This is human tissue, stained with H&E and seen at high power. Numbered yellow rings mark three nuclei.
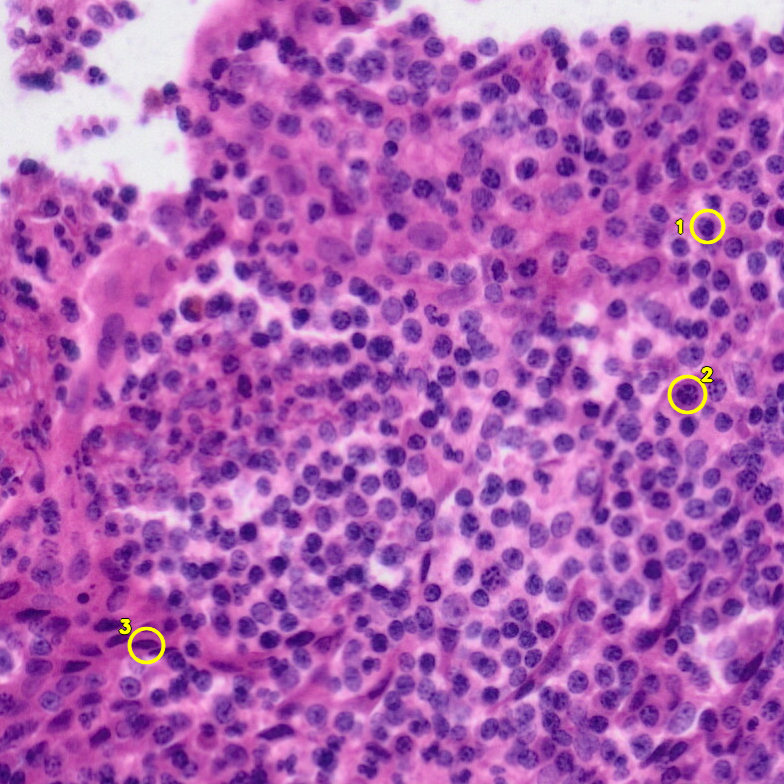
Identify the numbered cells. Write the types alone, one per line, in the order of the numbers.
plasma cell
plasma cell
squamous epithelial cell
